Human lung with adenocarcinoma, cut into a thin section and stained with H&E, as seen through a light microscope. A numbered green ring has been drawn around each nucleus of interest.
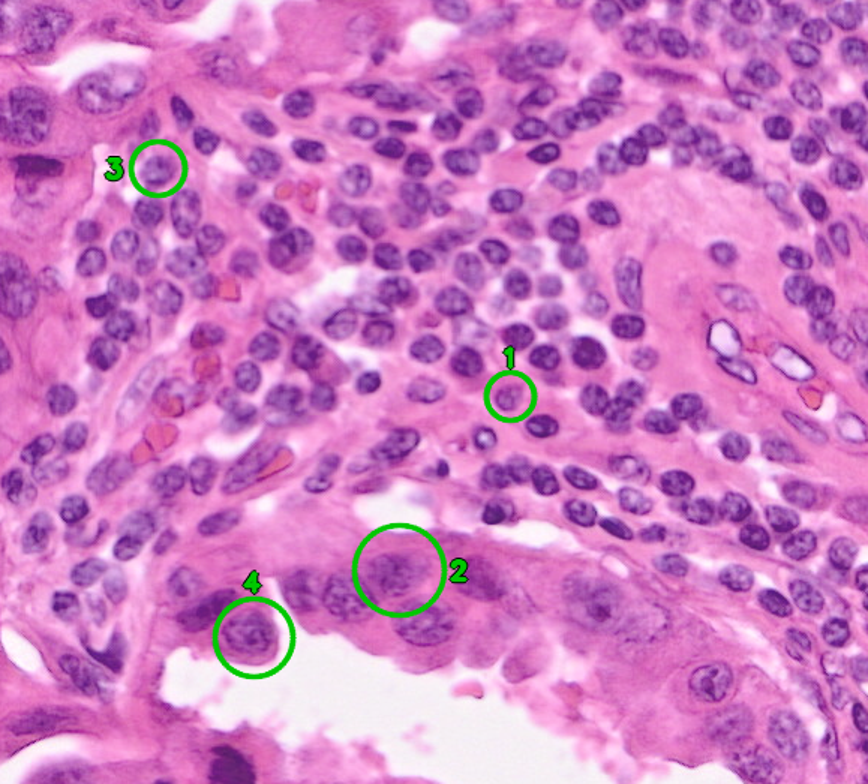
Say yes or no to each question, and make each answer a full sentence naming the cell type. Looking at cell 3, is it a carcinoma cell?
No, the right label for cell 3 is a lymphocyte rather than a carcinoma cell.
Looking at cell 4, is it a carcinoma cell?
Yes, the number 4 belongs to a carcinoma cell.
